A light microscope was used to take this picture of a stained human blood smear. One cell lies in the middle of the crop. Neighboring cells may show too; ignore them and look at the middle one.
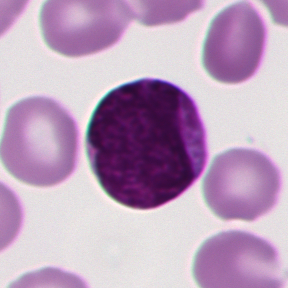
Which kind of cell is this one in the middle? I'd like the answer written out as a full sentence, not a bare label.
In the central position of this crop, the cell is a myeloblast.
